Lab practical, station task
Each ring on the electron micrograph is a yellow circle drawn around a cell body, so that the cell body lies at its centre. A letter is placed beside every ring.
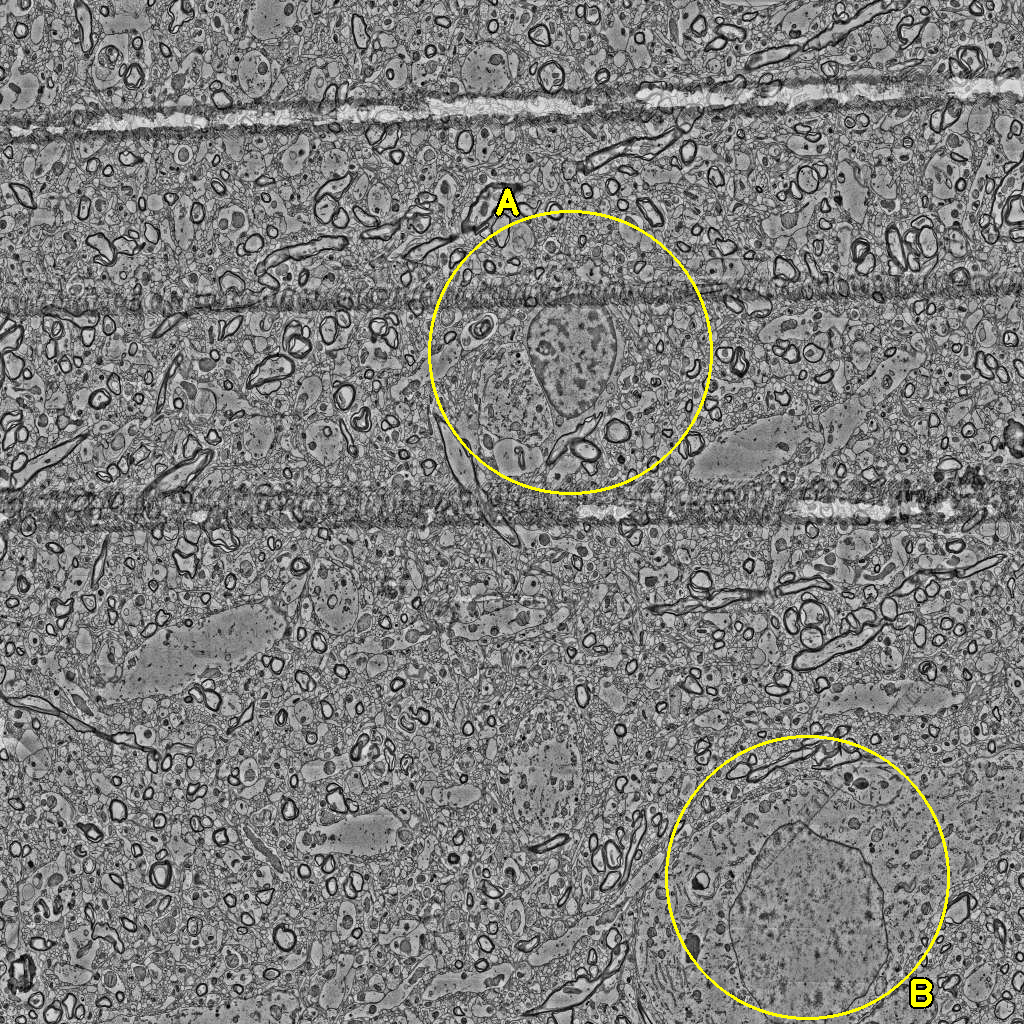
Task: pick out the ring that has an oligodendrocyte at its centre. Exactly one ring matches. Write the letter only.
A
